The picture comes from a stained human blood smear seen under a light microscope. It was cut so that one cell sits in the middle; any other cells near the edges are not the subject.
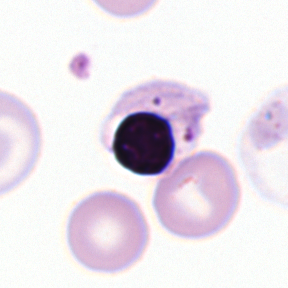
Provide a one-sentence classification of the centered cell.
The middle cell in this particular crop is an erythroblast.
